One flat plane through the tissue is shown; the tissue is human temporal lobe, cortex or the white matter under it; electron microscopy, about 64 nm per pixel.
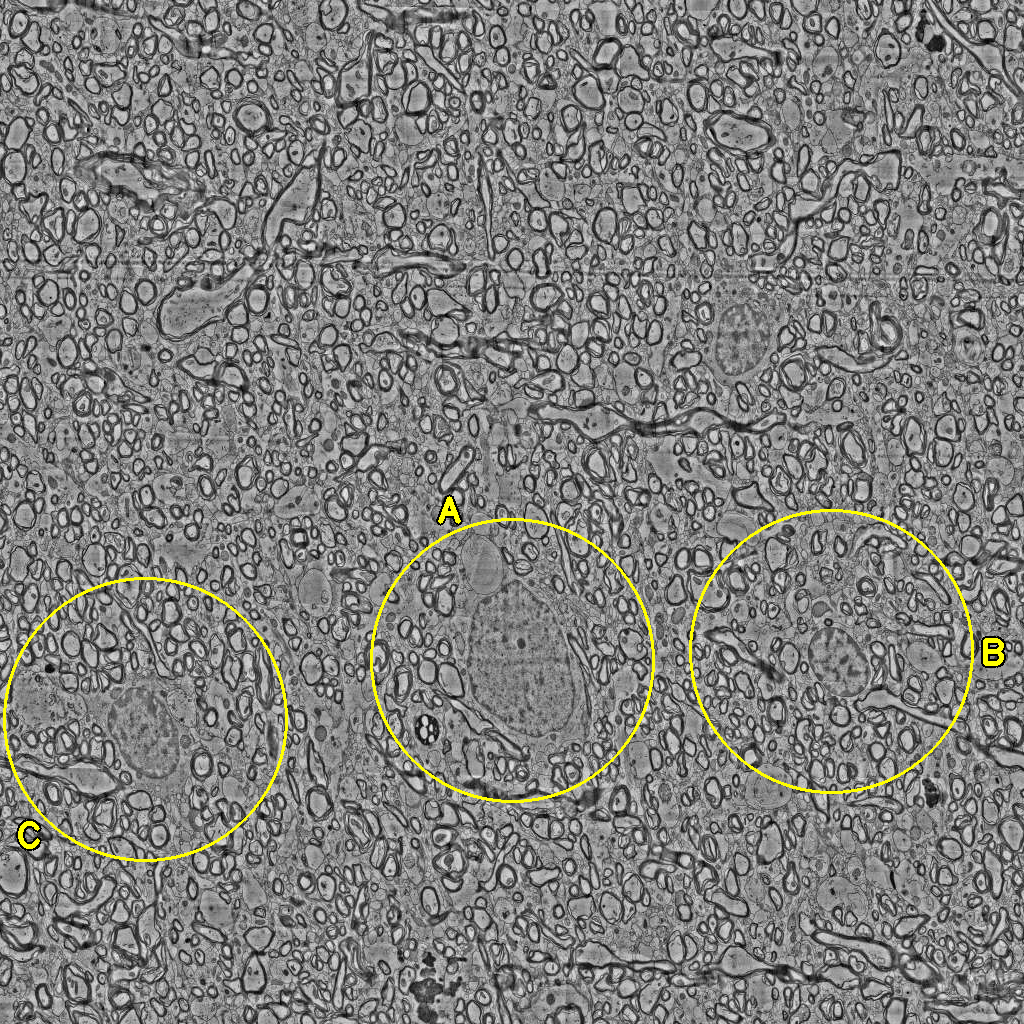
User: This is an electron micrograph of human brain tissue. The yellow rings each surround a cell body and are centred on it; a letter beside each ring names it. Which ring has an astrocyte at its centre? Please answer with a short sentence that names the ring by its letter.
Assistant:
Ring A has it at its centre.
